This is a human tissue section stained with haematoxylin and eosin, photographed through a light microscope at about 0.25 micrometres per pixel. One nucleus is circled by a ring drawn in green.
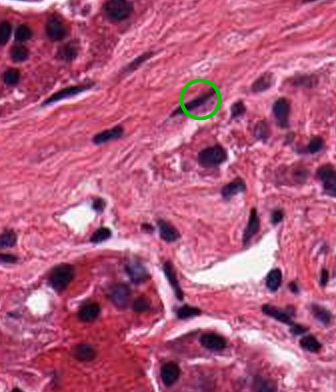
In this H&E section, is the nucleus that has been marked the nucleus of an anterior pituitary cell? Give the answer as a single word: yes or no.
no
